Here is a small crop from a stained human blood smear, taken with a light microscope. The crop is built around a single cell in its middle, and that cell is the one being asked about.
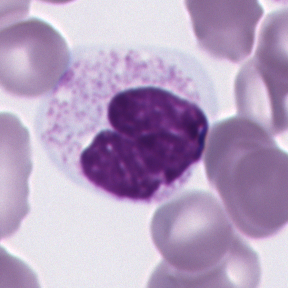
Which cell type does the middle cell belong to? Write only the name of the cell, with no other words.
band neutrophil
